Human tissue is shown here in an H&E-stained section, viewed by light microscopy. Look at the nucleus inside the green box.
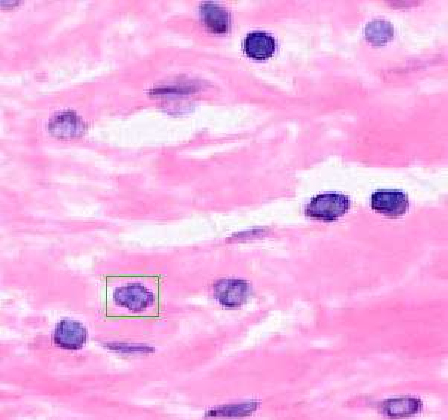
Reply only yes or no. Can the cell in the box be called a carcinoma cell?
no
